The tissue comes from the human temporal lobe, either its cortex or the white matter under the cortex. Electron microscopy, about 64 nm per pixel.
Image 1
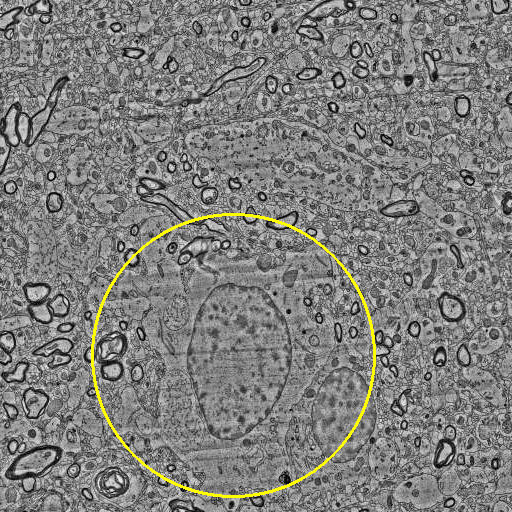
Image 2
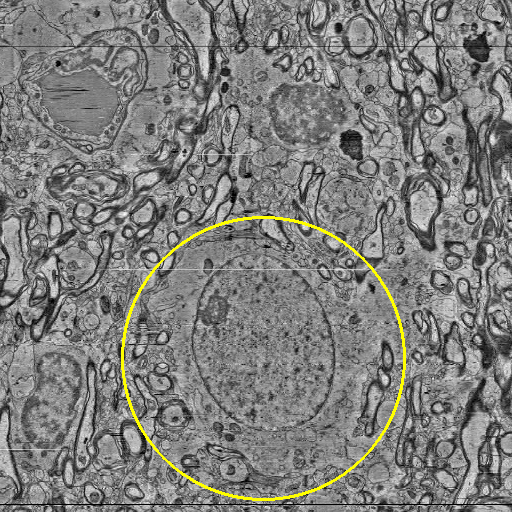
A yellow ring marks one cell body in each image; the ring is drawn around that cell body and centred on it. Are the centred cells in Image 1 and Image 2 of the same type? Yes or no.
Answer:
yes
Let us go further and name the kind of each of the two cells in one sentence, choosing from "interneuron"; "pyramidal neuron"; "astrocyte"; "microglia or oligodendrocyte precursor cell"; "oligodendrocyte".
In both pictures the ring is centred on an astrocyte.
